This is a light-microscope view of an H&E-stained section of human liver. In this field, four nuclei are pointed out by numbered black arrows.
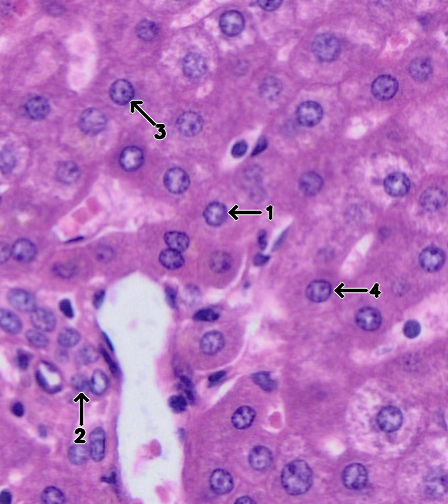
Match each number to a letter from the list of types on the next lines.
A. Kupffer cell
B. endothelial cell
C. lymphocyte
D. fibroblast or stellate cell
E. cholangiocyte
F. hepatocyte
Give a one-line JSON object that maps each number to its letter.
{"1": "F", "2": "E", "3": "F", "4": "F"}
